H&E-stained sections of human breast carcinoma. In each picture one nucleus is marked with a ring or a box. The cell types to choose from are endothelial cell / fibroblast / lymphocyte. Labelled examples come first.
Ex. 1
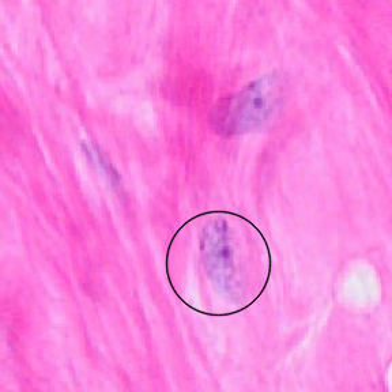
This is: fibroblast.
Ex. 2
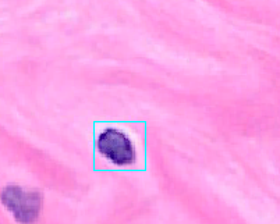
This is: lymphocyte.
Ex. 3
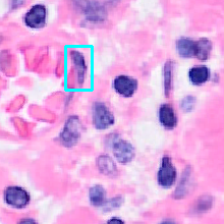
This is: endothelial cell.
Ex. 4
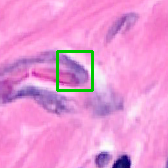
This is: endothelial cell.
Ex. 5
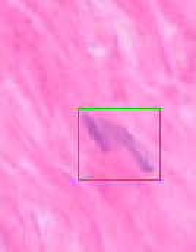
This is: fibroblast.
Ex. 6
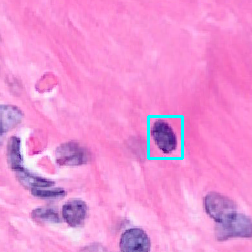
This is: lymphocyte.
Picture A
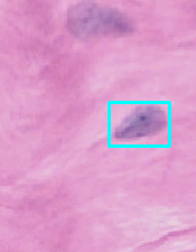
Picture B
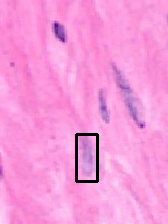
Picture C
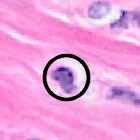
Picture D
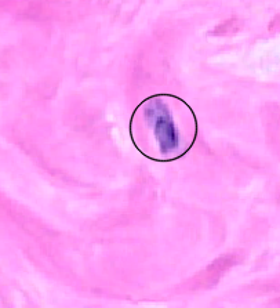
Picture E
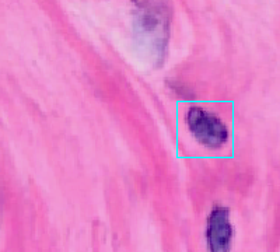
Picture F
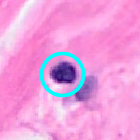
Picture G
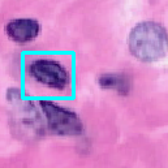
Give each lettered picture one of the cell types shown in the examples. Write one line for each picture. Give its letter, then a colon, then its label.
A: fibroblast.
B: fibroblast.
C: lymphocyte.
D: fibroblast.
E: lymphocyte.
F: lymphocyte.
G: lymphocyte.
